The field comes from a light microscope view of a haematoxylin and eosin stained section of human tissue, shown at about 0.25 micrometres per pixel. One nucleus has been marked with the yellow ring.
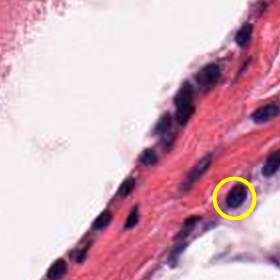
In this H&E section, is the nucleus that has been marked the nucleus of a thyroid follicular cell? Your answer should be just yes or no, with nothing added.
yes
